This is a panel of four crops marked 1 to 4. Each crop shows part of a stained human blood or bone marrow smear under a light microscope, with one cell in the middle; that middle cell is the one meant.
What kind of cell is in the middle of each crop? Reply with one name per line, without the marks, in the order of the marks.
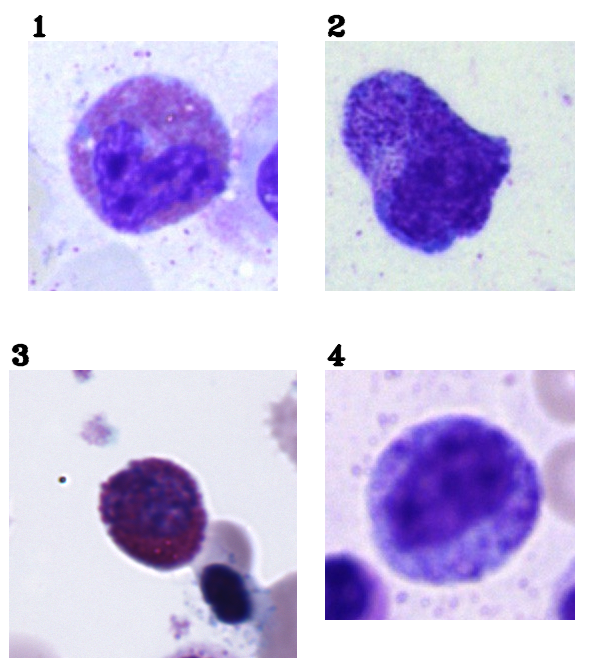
eosinophil
promyelocyte
eosinophil
promyelocyte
